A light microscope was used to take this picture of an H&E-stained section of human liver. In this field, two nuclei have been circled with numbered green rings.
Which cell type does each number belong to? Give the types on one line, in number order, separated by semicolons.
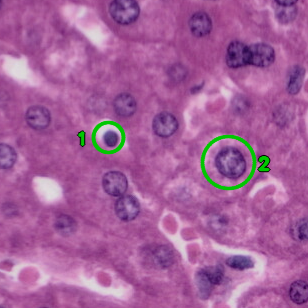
lymphocyte; hepatocyte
